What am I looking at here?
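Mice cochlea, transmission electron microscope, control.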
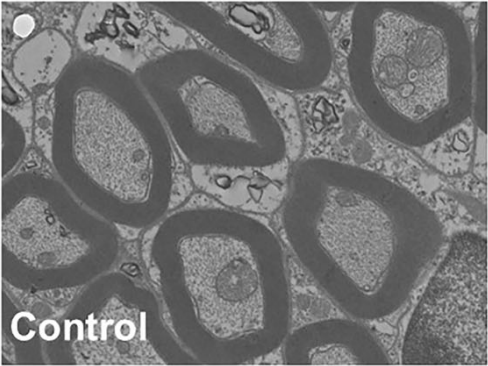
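The myelin sheaths appear as thick, compact, uniformly electron-dense rings of fairly even thickness around rounded or angular axons. The axon cores are paler with a fine granular or filamentous texture and scattered organelles such as mitochondria. The fibers lie closely packed, separated by lighter cytoplasm and small profiles between them. The dense rings are smooth and unbroken, without splits or loosening of the layers.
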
